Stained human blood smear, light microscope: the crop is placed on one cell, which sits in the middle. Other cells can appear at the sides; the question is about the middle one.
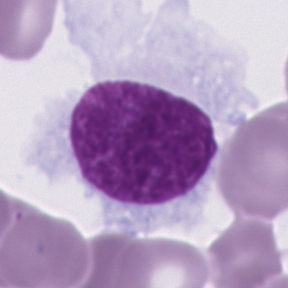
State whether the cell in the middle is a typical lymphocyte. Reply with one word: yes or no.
no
